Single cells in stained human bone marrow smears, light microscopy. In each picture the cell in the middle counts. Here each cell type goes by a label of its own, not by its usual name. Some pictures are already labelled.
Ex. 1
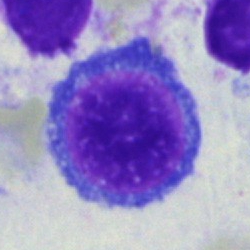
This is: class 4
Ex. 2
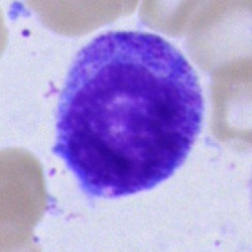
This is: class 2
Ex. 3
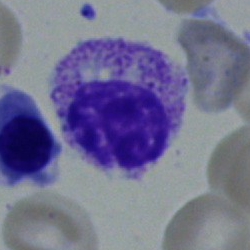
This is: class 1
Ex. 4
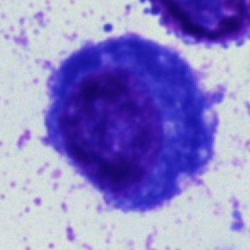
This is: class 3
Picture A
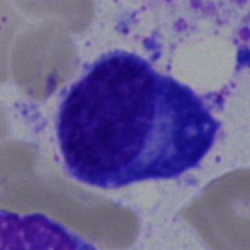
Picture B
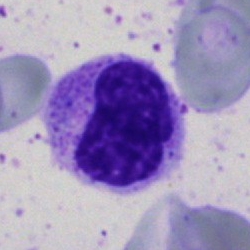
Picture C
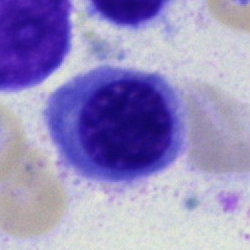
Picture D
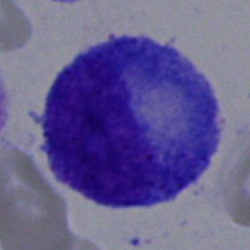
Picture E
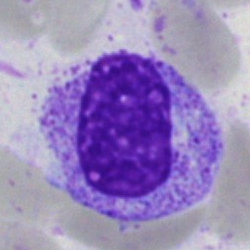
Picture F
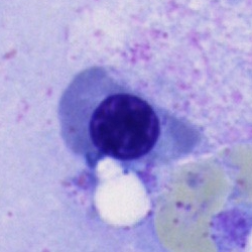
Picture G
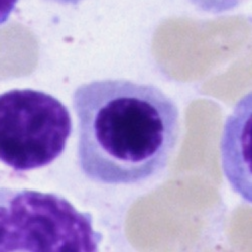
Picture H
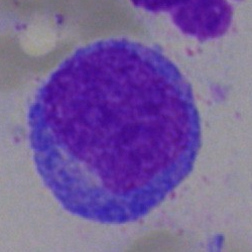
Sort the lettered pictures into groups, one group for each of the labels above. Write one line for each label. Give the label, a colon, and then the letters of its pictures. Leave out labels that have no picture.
class 4: C, F, G
class 2: D, H
class 1: B, E
class 3: A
